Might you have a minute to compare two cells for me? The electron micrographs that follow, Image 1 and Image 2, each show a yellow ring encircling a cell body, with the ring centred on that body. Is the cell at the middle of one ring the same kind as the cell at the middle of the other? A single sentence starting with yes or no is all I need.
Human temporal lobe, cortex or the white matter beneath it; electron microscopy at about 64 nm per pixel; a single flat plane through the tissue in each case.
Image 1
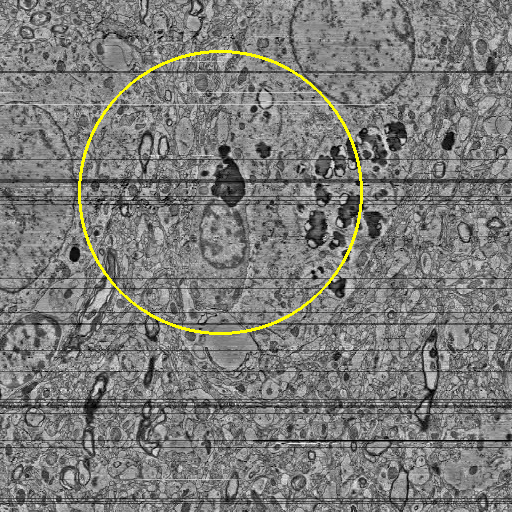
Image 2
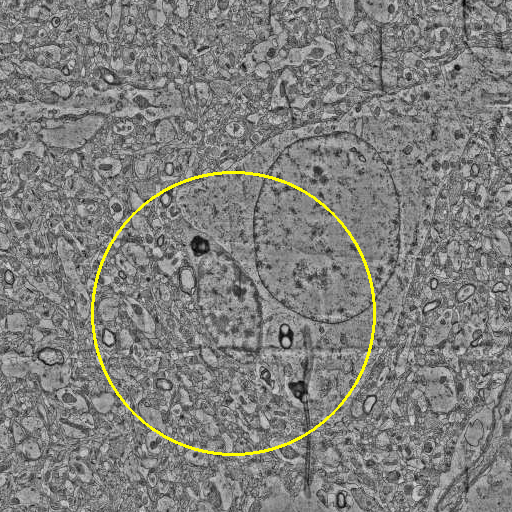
Yes, the cells in the middle of the two rings are of one shared kind.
